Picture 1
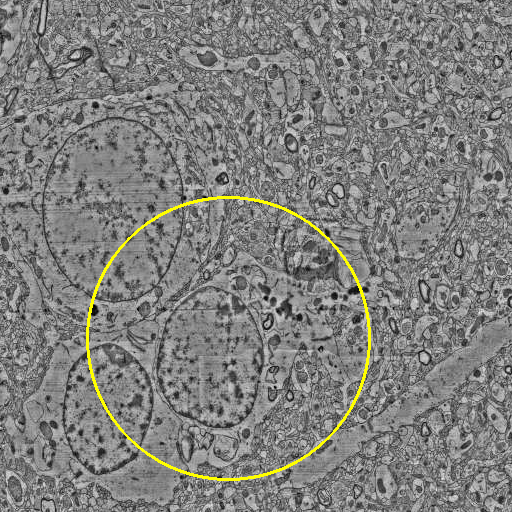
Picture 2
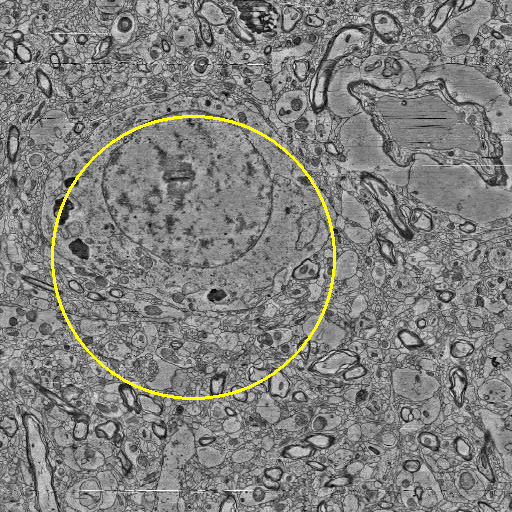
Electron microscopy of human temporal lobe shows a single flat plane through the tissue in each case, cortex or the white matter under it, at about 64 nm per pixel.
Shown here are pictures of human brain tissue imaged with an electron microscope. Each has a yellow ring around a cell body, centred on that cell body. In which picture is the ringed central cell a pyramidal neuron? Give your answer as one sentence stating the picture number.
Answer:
My answer is picture 2, where the ringed cell at the centre is the one sought.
